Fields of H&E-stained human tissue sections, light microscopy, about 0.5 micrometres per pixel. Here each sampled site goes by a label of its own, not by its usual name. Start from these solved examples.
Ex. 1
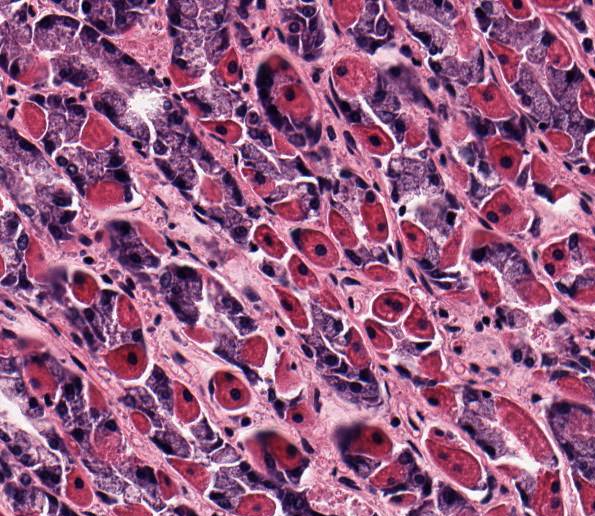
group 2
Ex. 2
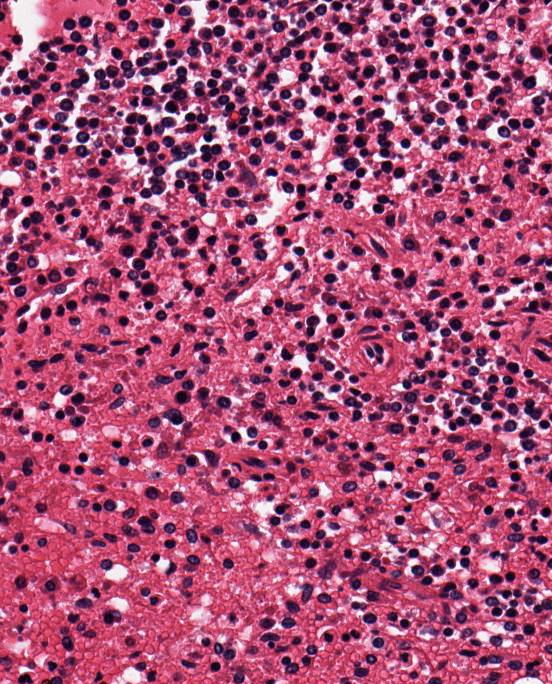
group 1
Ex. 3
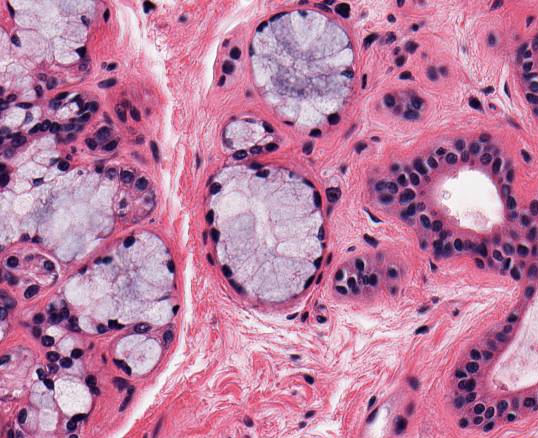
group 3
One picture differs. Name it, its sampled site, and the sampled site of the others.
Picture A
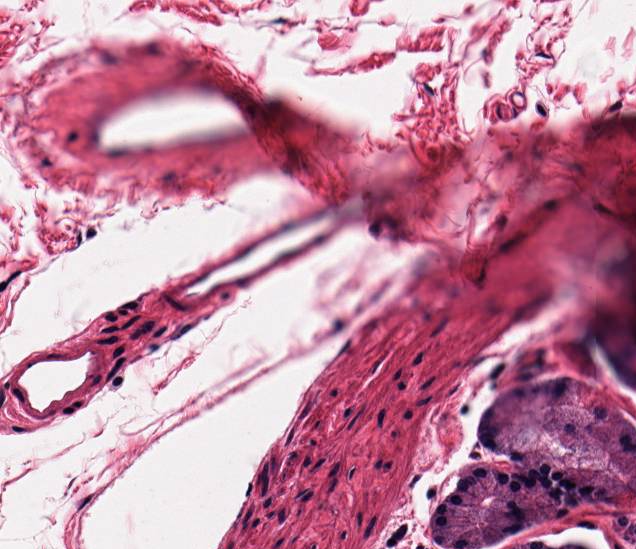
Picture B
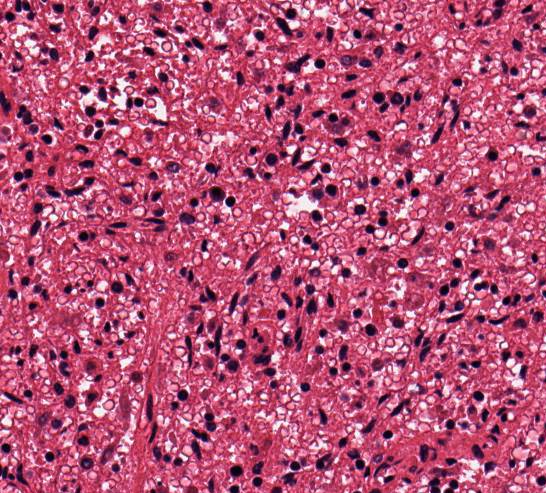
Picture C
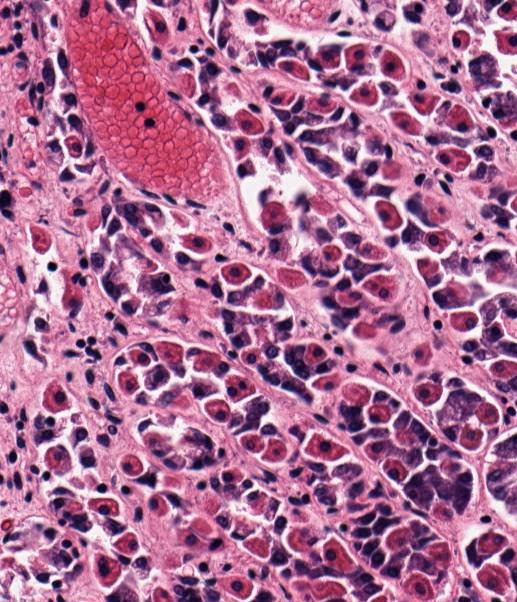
Exception: B, showing group 1. Remaining pictures: group 2.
